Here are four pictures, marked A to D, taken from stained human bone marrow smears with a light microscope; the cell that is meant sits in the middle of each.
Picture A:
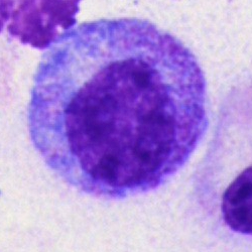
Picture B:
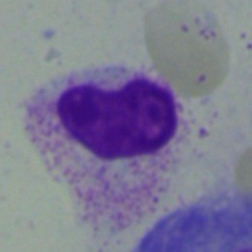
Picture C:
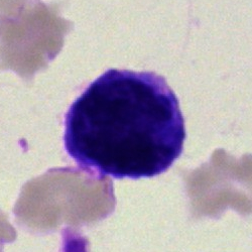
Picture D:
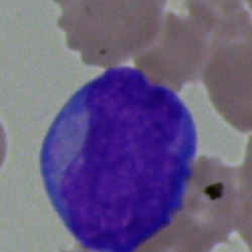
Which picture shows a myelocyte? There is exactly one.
A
